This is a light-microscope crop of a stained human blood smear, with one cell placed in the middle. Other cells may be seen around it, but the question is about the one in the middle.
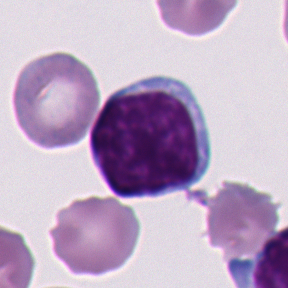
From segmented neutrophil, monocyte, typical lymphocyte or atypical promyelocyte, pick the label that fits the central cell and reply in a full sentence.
Here the cell in the middle is a typical lymphocyte.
